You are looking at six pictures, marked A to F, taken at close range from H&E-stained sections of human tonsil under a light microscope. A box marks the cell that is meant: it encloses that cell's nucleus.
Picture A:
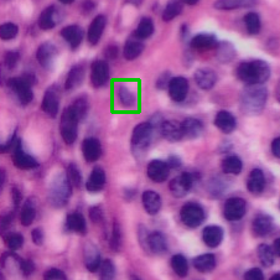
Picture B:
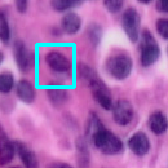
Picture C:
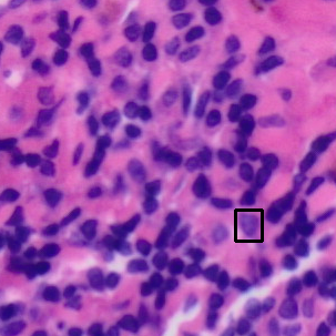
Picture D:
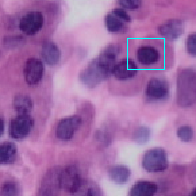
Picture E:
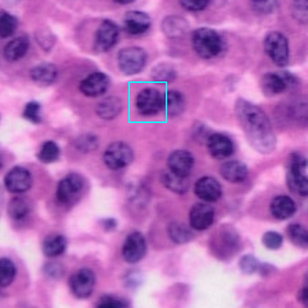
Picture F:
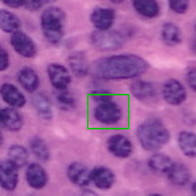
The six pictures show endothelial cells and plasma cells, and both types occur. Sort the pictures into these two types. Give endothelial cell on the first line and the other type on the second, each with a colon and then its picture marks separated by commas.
endothelial cell: A, B, C
plasma cell: D, E, F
